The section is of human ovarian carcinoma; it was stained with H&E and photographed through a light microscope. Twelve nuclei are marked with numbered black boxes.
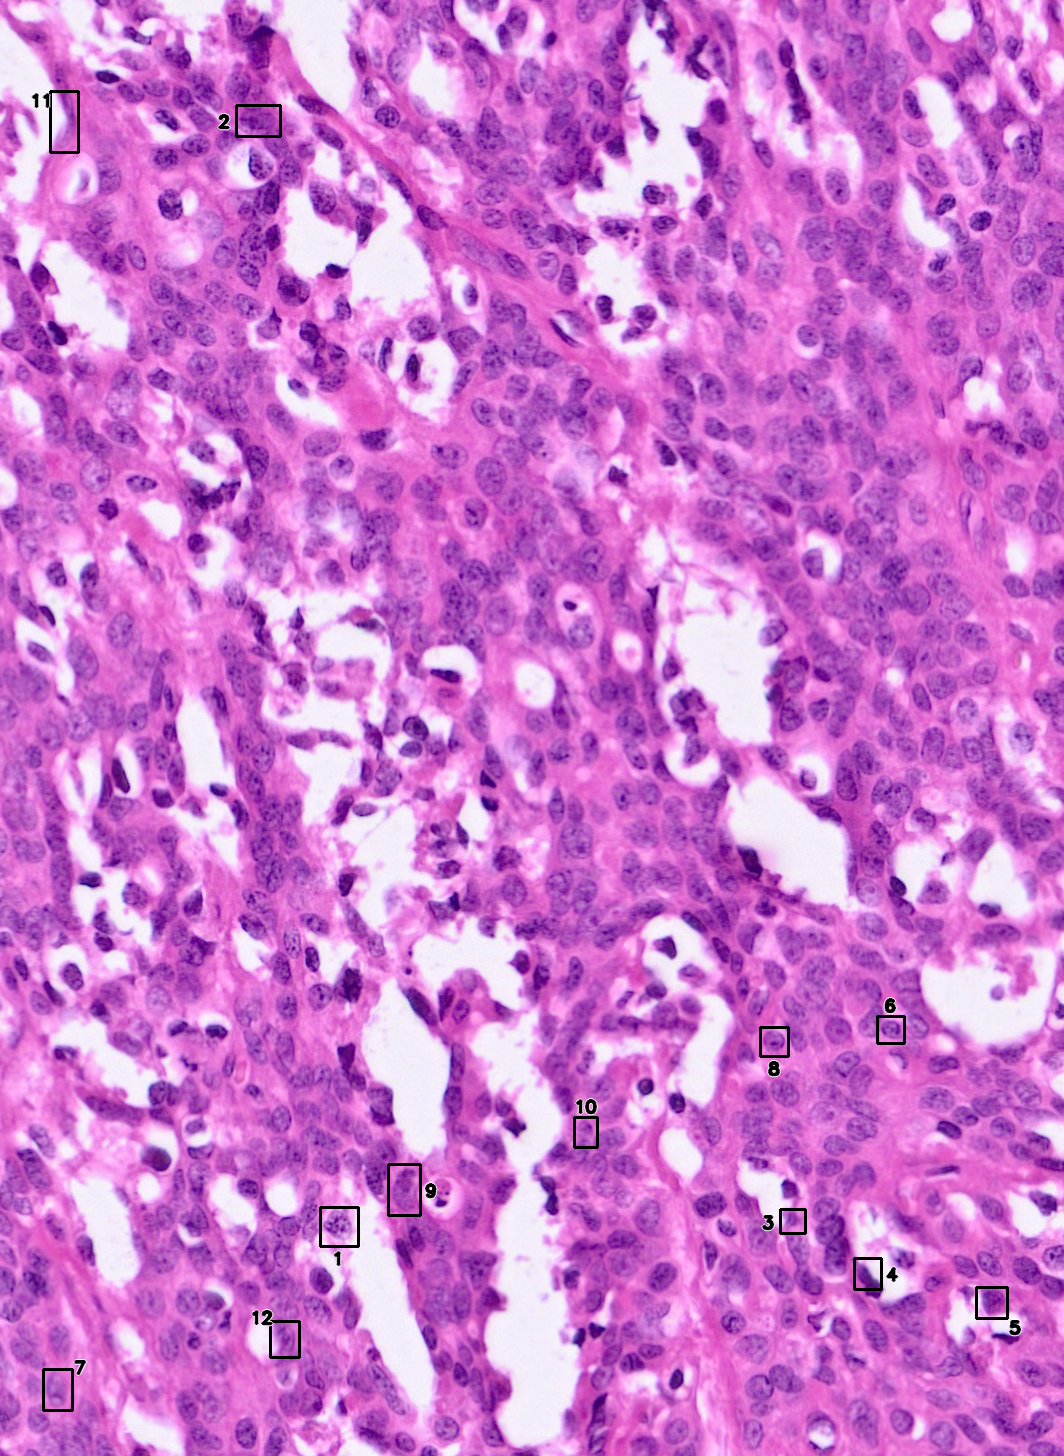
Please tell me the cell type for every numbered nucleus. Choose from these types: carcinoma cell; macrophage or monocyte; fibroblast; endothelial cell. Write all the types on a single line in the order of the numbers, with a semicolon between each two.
macrophage or monocyte; carcinoma cell; carcinoma cell; carcinoma cell; carcinoma cell; macrophage or monocyte; carcinoma cell; macrophage or monocyte; carcinoma cell; macrophage or monocyte; endothelial cell; carcinoma cell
